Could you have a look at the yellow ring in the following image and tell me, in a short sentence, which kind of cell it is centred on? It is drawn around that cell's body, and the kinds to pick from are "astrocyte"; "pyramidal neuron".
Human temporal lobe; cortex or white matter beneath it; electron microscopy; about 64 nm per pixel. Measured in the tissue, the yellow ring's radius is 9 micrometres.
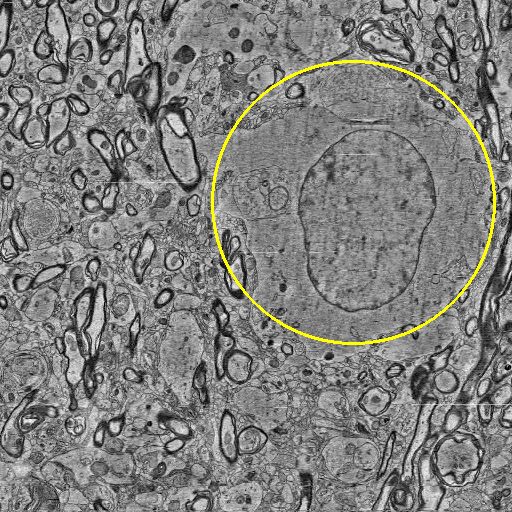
The ring is centred on the body of an astrocyte.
